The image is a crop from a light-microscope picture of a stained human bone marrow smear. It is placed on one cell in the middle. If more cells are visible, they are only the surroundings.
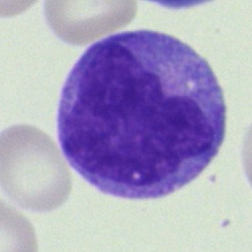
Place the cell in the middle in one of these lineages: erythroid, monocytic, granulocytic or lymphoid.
monocytic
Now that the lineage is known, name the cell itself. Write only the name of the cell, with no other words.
monocyte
